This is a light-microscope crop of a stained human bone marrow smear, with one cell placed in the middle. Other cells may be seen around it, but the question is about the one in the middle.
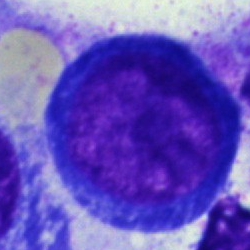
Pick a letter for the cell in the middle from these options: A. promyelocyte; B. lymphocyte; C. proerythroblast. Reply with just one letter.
C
